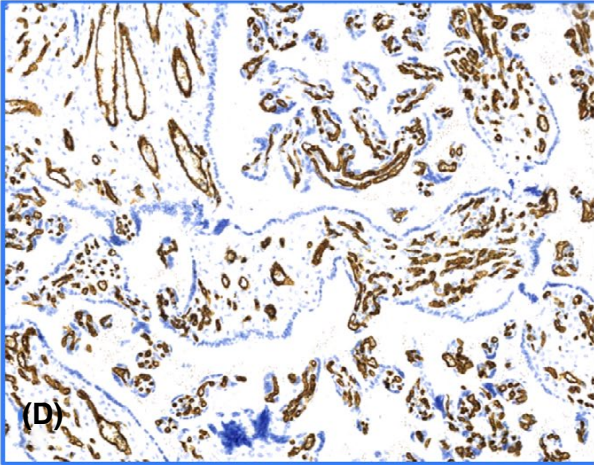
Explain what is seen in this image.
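Placental tissue dominated by larger stem and intermediate villi with broad cores of pale, blue-counterstained fibrous stroma. The villous surfaces are lined by a continuous thin layer of blue-stained trophoblast, and wide clear intervillous spaces separate the villi.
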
